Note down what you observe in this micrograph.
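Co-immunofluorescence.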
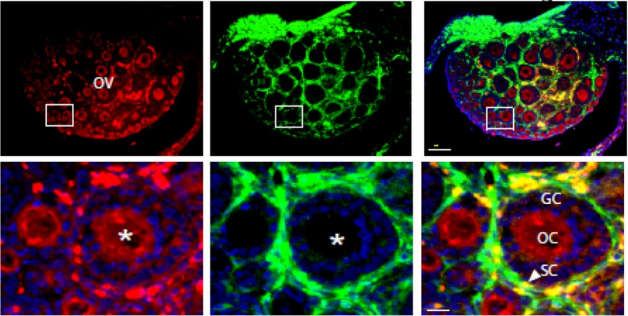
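The ovary contains many follicles, each with a large round red-stained oocyte at its centre surrounded by one or more layers of small cells with blue nuclei. Green stromal cells form continuous rings that envelope each follicle outside the granulosa cell layers, giving a honeycomb-like network across the ovary. At higher magnification the granulosa cells sit directly around the oocyte and the thin green stromal layer lies outside them.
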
